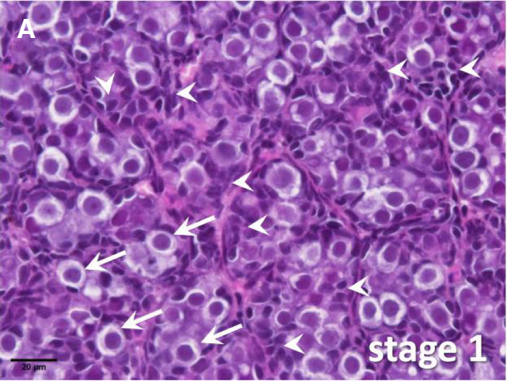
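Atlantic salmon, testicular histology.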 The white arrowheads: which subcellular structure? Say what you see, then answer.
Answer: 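Sertoli cell nuclei. Small dark, elongated or angular nuclei. They lie in clusters between the large pale cells. Much smaller than the large round germ cells.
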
